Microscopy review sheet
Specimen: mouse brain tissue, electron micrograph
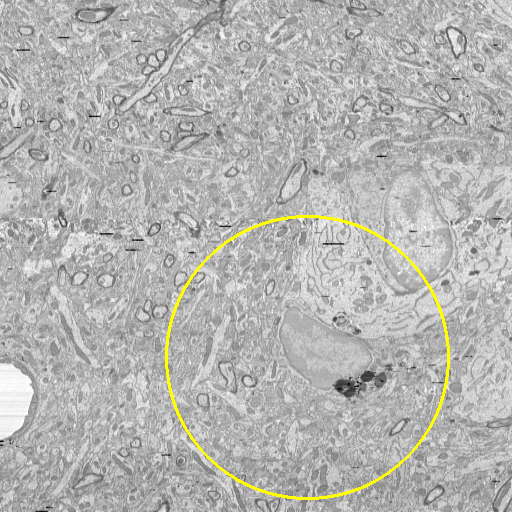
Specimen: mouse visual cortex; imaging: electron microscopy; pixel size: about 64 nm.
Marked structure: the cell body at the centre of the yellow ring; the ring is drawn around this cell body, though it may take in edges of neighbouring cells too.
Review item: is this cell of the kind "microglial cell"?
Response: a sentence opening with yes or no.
Yes, this cell is of that kind.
